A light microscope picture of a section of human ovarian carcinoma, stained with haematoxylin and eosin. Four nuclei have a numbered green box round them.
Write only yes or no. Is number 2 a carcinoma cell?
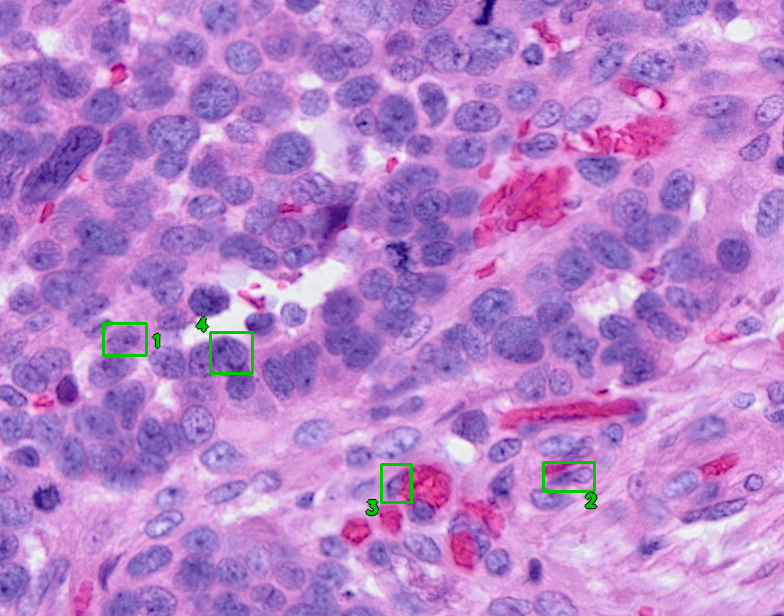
no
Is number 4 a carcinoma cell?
yes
